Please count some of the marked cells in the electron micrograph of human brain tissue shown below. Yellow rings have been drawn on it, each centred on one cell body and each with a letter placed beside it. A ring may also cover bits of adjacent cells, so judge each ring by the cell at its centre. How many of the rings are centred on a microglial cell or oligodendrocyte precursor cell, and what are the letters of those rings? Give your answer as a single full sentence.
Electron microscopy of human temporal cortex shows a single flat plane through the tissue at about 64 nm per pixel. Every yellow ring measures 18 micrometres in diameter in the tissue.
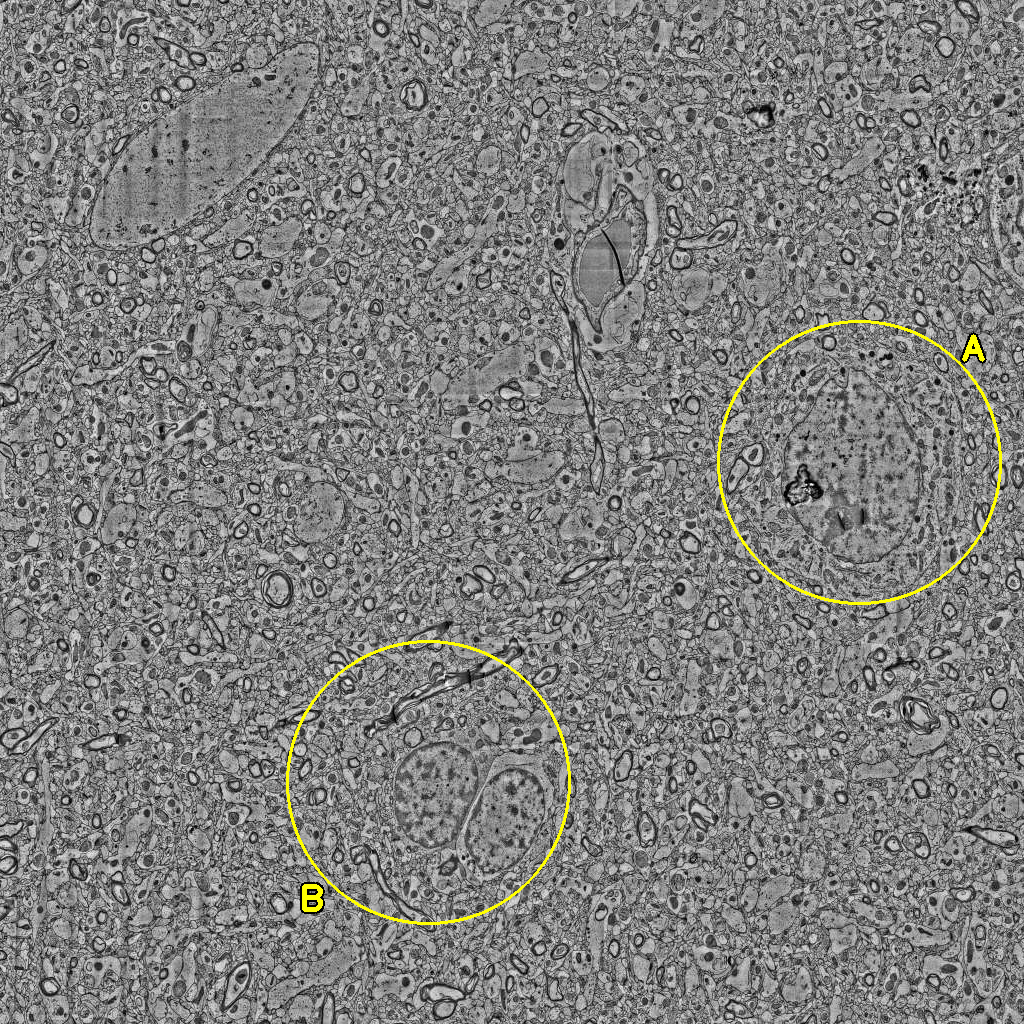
No letter in the micrograph marks a ring centred on a microglial cell or oligodendrocyte precursor cell, so the count is zero.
